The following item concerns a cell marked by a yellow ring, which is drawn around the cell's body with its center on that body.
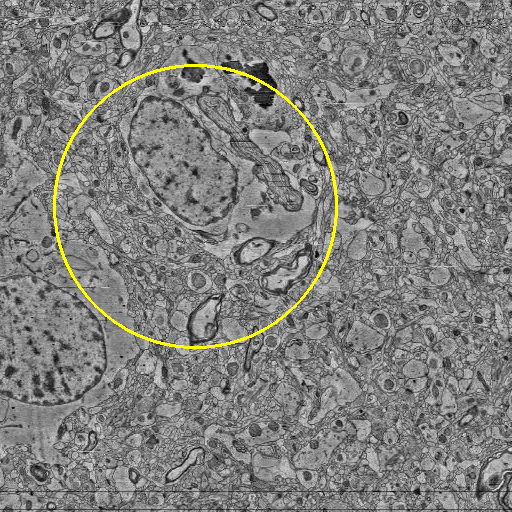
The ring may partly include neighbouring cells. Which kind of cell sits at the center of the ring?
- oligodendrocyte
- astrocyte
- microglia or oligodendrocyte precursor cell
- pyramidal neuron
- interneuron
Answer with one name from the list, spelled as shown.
microglia or oligodendrocyte precursor cell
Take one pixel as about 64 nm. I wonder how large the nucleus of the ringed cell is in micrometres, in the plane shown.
About 9 by 6 micrometres; in this plane the nucleus is clearly longer than it is wide.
